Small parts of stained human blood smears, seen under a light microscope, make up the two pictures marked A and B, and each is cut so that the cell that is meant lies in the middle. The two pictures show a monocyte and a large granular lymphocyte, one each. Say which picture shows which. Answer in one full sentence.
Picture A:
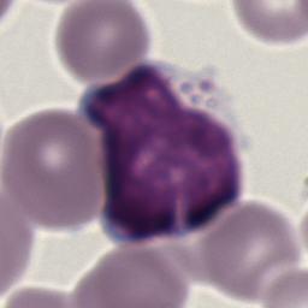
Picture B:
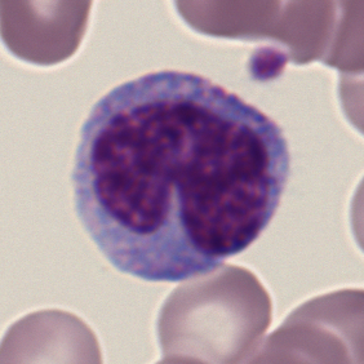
Picture A is of a large granular lymphocyte, and picture B is of a monocyte.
